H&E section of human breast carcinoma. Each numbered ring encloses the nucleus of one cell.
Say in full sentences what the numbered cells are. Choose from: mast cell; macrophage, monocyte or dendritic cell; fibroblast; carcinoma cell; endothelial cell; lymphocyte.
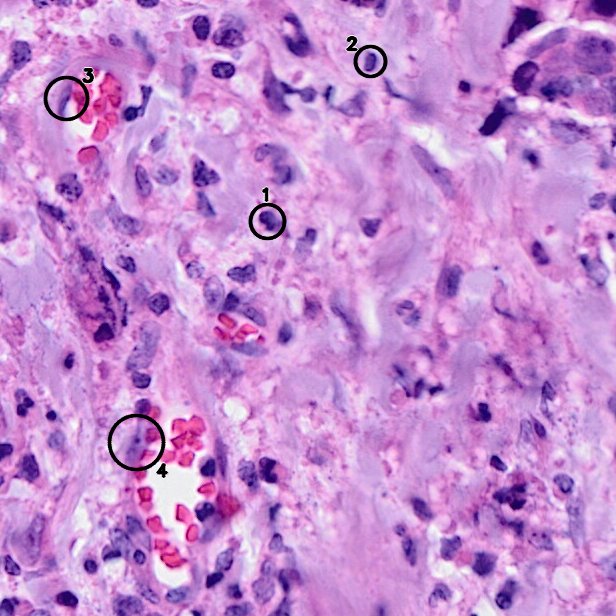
Cell 1 is a lymphocyte, cell 2 is a lymphocyte, cell 3 is an endothelial cell and cell 4 is an endothelial cell.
